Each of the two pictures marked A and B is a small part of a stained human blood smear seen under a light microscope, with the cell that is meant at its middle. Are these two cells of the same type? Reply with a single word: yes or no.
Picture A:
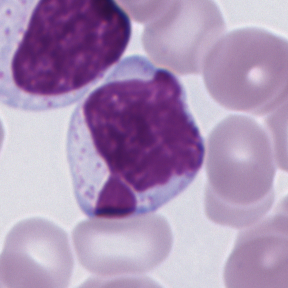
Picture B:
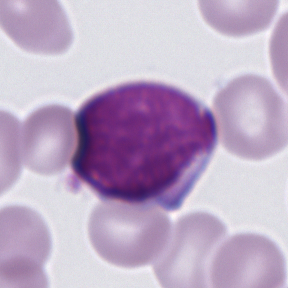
yes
